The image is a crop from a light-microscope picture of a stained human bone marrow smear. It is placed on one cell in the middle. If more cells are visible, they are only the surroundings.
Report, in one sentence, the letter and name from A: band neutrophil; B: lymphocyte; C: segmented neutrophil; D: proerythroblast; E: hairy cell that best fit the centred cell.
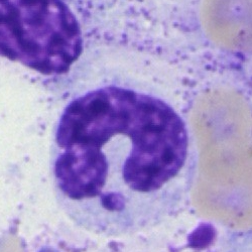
Option A is the right choice, the central cell being a band neutrophil.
